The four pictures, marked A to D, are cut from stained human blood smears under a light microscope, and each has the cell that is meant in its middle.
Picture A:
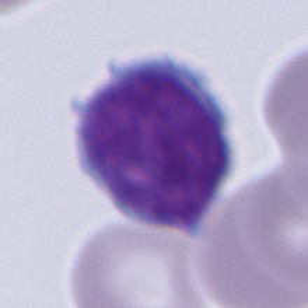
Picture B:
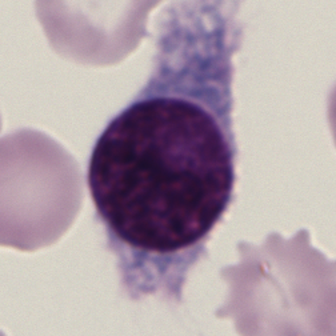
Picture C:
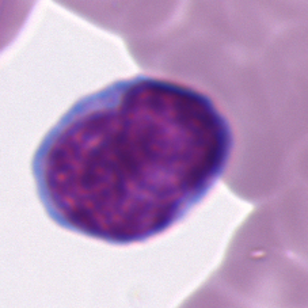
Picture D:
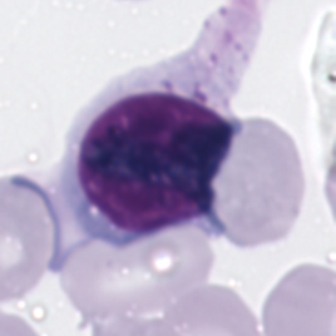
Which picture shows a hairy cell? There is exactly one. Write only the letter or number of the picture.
B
